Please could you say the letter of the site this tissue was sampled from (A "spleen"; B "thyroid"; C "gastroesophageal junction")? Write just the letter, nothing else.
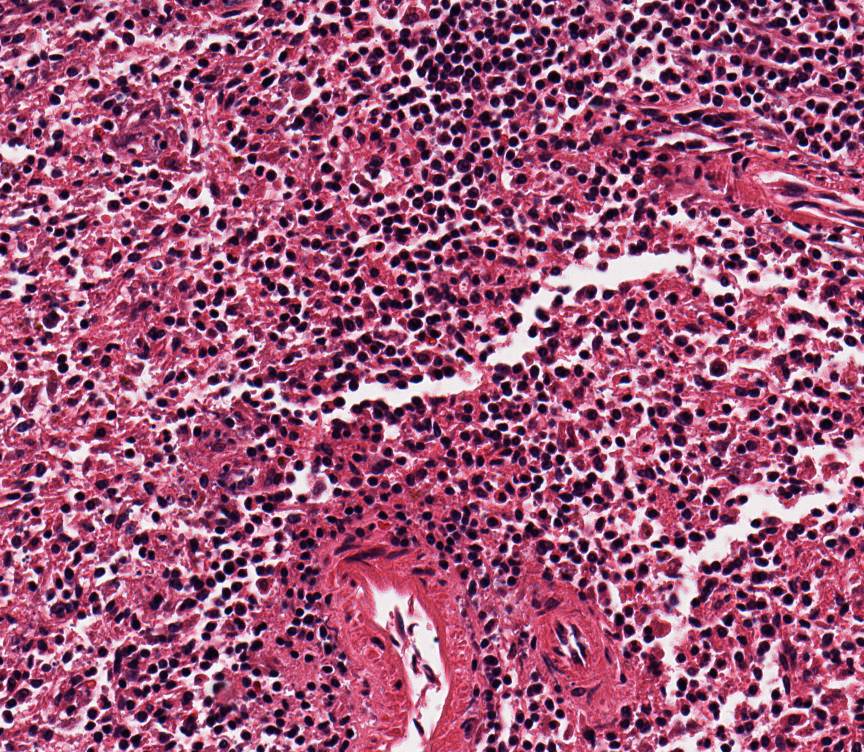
A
